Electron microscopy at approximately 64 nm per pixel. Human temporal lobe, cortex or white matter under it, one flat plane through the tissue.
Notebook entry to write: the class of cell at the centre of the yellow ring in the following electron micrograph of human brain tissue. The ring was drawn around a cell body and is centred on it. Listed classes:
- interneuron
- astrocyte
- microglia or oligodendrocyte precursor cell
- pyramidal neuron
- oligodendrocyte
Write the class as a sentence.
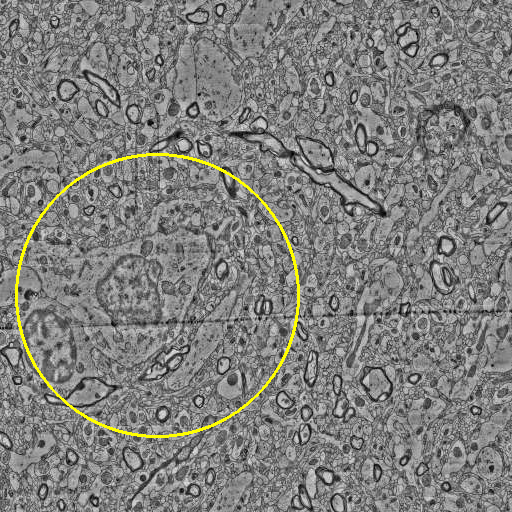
The yellow ring sits on a pyramidal neuron.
